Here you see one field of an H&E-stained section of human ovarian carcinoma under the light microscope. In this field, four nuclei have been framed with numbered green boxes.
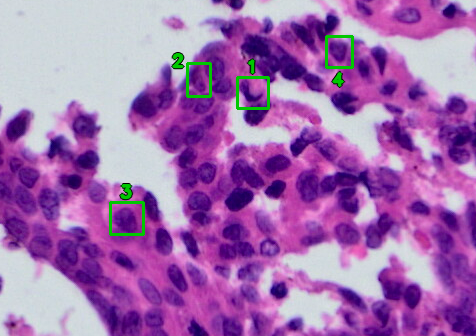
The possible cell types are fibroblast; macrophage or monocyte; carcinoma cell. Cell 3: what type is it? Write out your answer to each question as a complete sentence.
In the marked set, the cell given number 3 is a carcinoma cell.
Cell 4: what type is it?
The cell that carries the label 4 is a carcinoma cell.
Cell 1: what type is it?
The one labeled 1 is a macrophage or monocyte, to put it simply.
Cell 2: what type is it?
Denoted by the label 2 in the section is a carcinoma cell.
